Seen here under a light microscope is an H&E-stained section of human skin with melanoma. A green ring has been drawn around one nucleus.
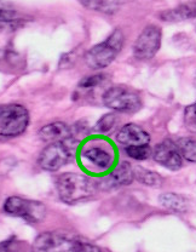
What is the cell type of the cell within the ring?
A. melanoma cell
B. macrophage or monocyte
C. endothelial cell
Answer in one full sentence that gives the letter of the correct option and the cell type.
Exactly as option A gives it, the cell within the ring is a melanoma cell.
